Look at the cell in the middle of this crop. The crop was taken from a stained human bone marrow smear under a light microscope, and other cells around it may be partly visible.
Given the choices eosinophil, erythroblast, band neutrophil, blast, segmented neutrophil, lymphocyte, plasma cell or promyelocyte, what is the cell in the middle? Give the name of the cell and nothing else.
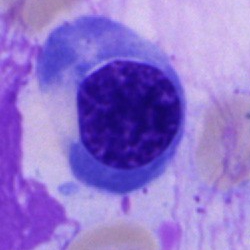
erythroblast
